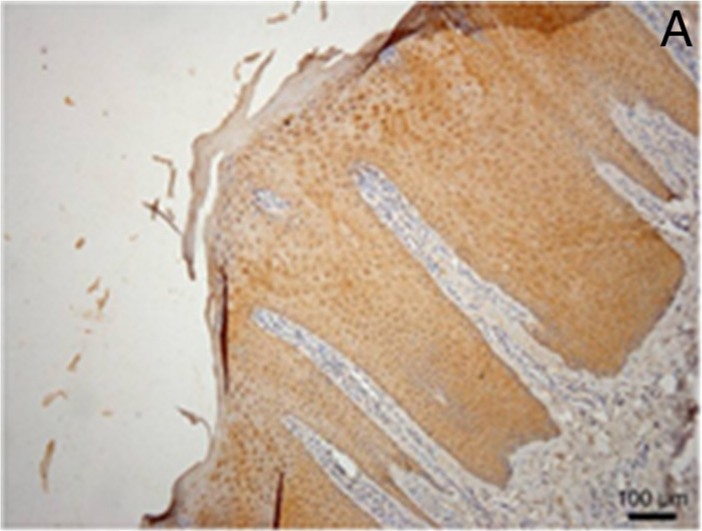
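This is a section of skin in which the thick epidermis of viable keratinocytes is stained a light brown throughout. The epidermis sends broad pegs downward, and between them run long, narrow dermal papillae of loose connective tissue with scattered blue nuclei and no brown colour. At the lower right these papillae join the underlying dermis, which is likewise pale and blue-dotted. At the outer surface on the left lies a thin, pale layer with loose flakes detaching into the empty space. The fine granular texture of the brown epithelium reflects the many tightly packed keratinocytes.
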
